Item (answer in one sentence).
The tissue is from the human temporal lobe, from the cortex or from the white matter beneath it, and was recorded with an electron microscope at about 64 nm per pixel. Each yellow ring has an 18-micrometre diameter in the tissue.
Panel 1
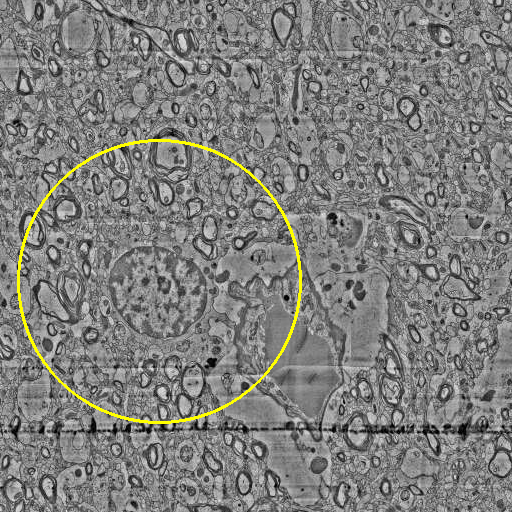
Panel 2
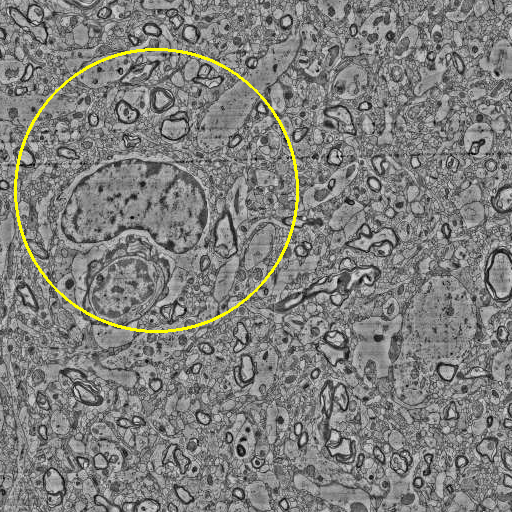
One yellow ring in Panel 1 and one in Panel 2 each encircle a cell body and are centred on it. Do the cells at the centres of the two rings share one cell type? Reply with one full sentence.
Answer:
No, Panel 1 and Panel 2 show cells of two types at the centres of their rings.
